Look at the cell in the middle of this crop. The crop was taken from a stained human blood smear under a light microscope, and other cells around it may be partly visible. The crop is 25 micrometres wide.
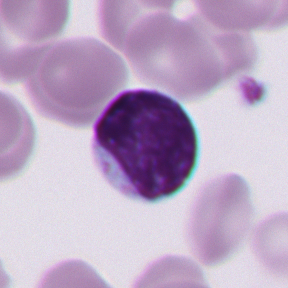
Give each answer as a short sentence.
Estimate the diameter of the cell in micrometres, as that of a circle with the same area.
It measures about 10 micrometres across.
